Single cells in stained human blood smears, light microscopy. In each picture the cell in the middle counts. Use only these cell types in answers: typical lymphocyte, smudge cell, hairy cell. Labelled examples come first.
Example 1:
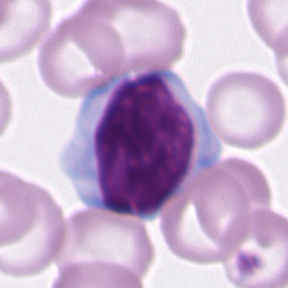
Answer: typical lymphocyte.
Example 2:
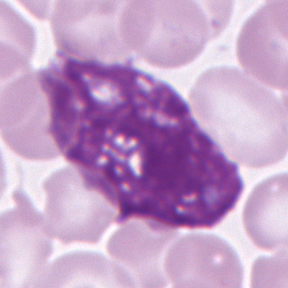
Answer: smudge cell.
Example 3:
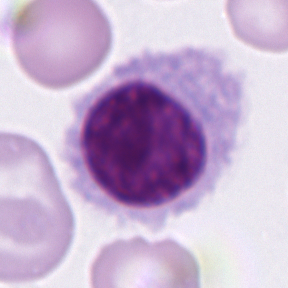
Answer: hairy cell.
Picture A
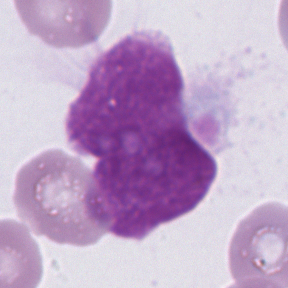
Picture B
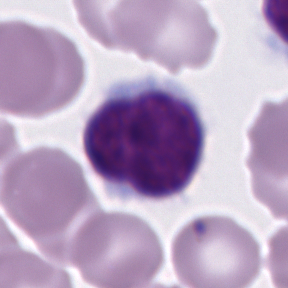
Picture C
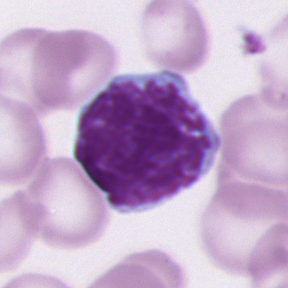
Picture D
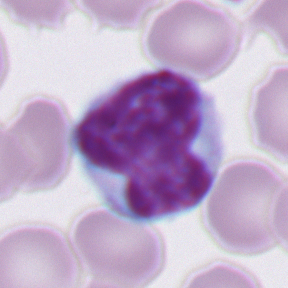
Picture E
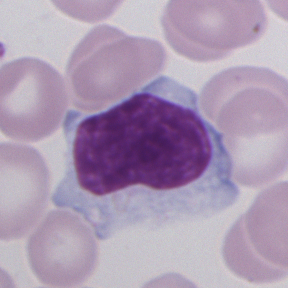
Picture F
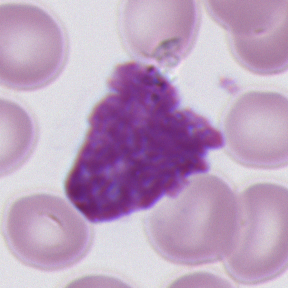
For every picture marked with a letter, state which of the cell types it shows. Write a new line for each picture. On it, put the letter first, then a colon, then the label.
A: smudge cell.
B: hairy cell.
C: typical lymphocyte.
D: typical lymphocyte.
E: typical lymphocyte.
F: smudge cell.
